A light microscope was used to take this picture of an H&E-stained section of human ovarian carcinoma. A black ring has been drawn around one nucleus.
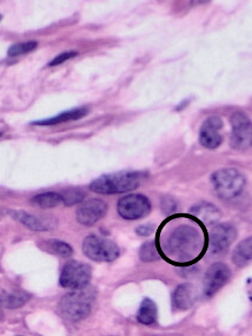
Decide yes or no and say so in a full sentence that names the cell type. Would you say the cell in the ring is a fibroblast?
No, the cell in the ring is not to be called a fibroblast; it is a carcinoma cell.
